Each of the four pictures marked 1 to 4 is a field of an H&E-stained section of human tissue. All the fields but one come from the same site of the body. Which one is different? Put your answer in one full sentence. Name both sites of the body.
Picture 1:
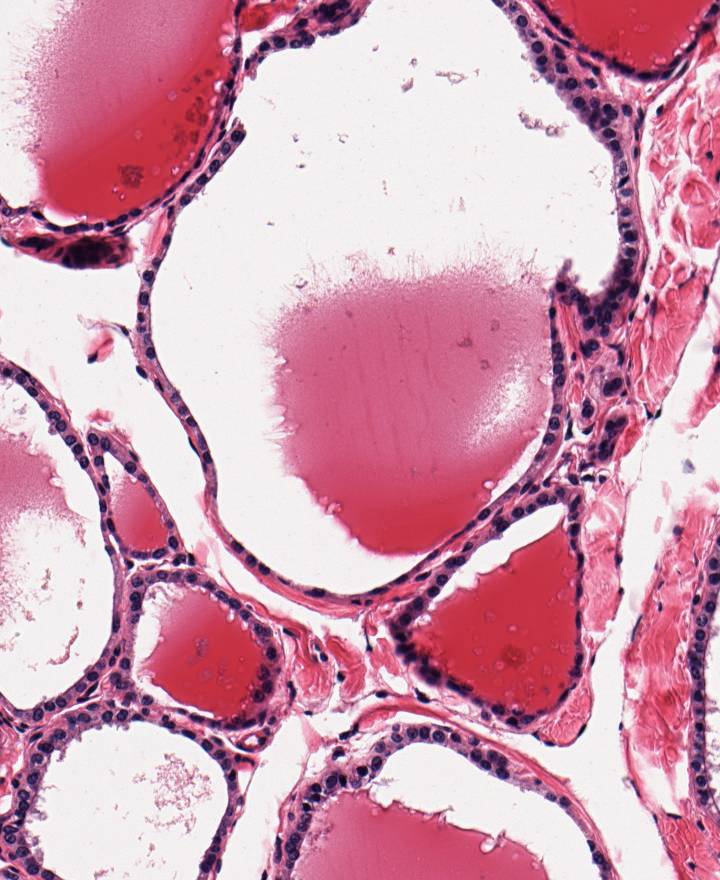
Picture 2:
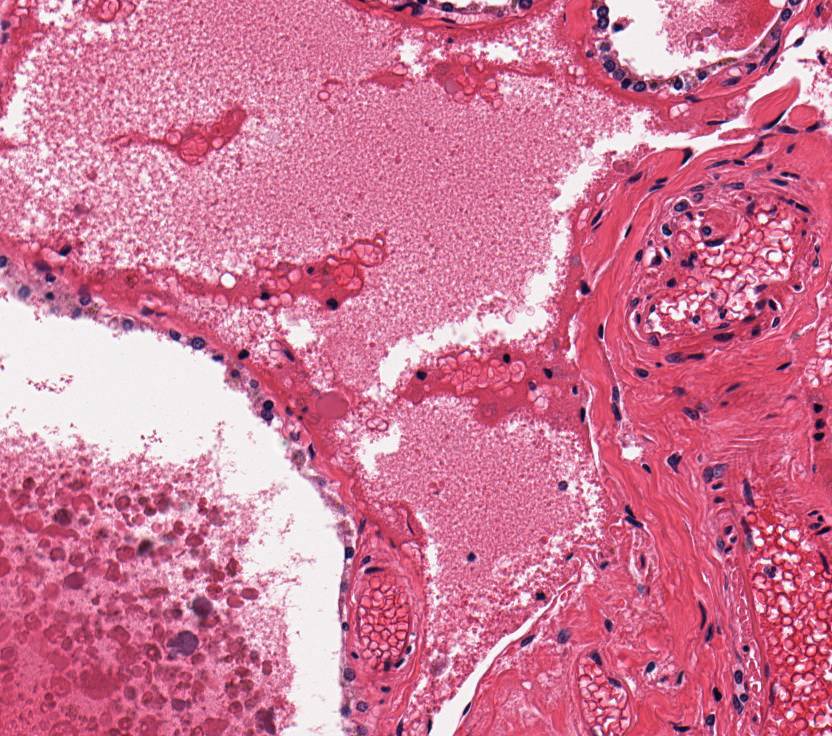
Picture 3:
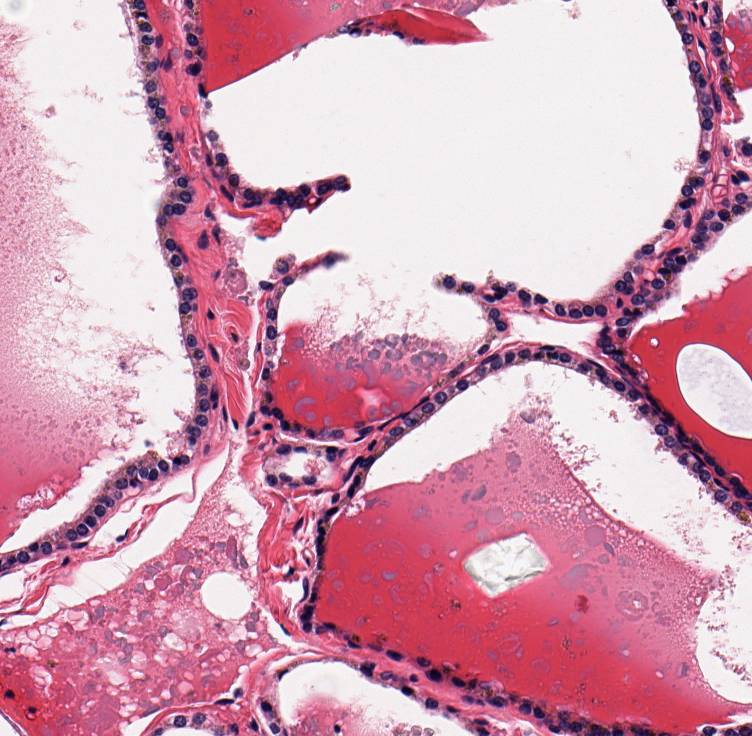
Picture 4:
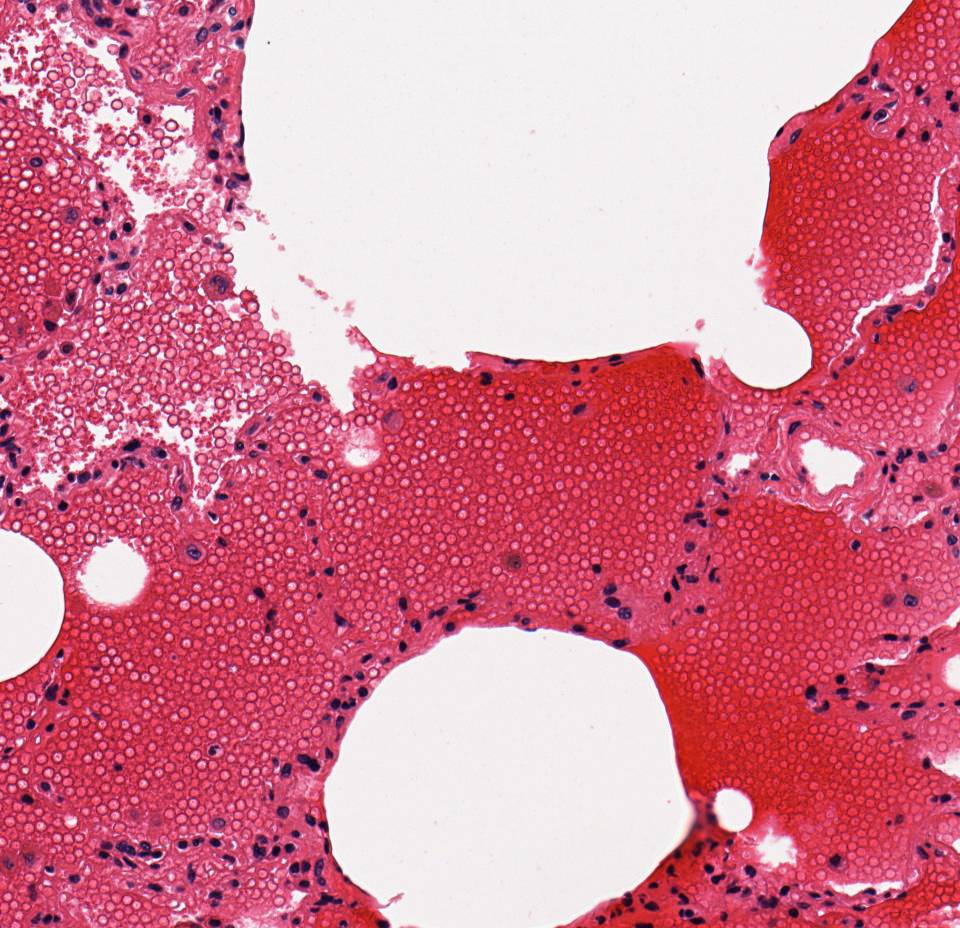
Picture 4 is the odd one out: it comes from the lung, while the others come from the thyroid.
